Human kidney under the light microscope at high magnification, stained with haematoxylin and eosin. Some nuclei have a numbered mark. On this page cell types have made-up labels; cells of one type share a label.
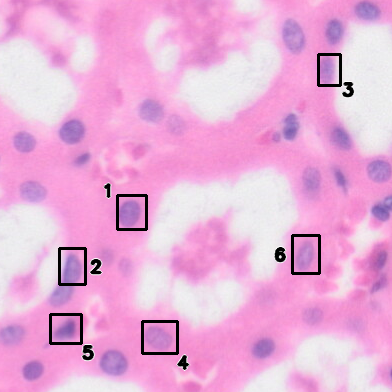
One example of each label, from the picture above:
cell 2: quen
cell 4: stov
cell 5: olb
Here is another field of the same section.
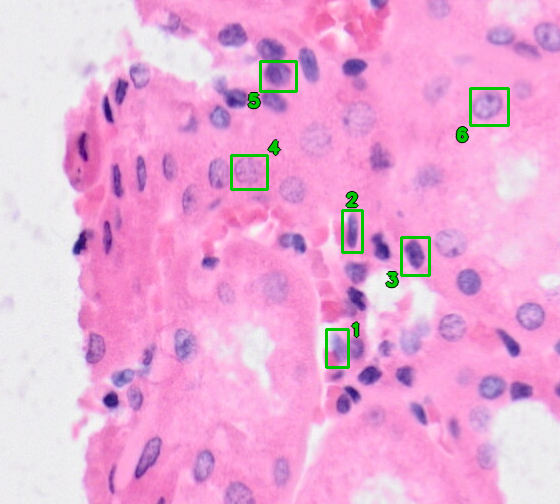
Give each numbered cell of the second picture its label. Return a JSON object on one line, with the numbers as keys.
{"1": "olb", "2": "olb", "3": "quen", "4": "stov", "5": "quen", "6": "stov"}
